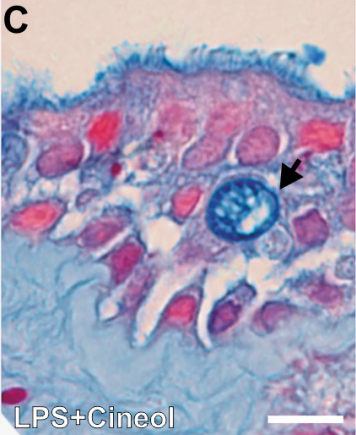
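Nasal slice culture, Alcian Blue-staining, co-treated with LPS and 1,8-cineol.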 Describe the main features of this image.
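The goblet cell is round, with a deep blue rim and a paler, bubbly blue interior, and it sits in the middle of the epithelium. Around it the other epithelial cells have elongated or oval nuclei stained red to pink, with pale cytoplasm and small clear spaces between cells. The surface at the top carries a fringe of cilia, and beneath the epithelium lies pale blue-grey connective tissue. Apart from this one cell, little blue mucus is seen in the epithelium.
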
